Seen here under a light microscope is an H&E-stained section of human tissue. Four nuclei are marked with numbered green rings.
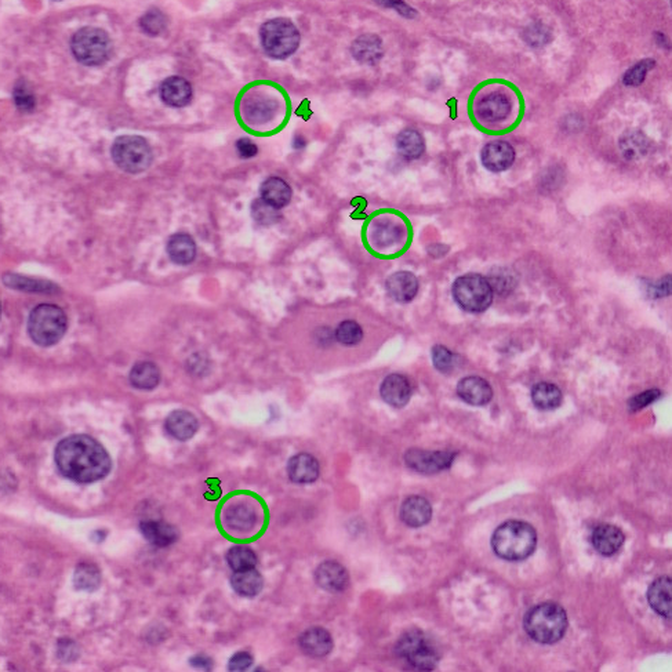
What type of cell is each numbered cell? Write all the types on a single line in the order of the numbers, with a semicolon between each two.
hepatocyte; hepatocyte; hepatocyte; Kupffer cell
